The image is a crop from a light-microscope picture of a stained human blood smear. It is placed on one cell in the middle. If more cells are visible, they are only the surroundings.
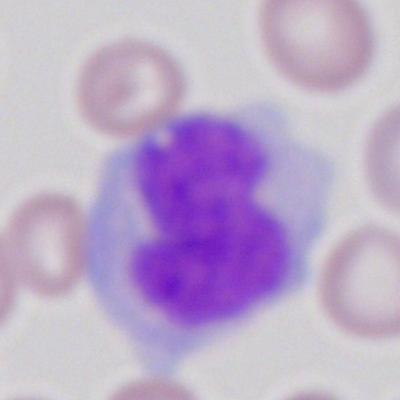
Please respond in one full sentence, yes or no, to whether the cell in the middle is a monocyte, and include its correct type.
Yes, the cell at the center of the crop is a monocyte.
